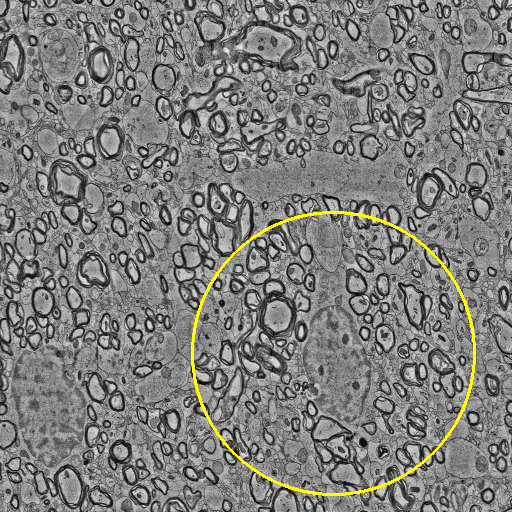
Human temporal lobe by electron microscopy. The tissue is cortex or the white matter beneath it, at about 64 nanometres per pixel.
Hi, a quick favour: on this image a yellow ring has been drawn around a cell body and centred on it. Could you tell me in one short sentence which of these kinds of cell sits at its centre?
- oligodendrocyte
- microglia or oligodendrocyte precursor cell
The ring is centred on an oligodendrocyte.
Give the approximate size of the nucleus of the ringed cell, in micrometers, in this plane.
Approximately 8 micrometres long and 4 micrometres wide, in this plane.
